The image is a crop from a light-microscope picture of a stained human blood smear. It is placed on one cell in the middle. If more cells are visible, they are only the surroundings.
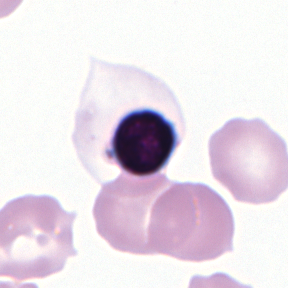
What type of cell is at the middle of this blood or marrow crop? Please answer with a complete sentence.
The center cell of this crop is an erythroblast.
